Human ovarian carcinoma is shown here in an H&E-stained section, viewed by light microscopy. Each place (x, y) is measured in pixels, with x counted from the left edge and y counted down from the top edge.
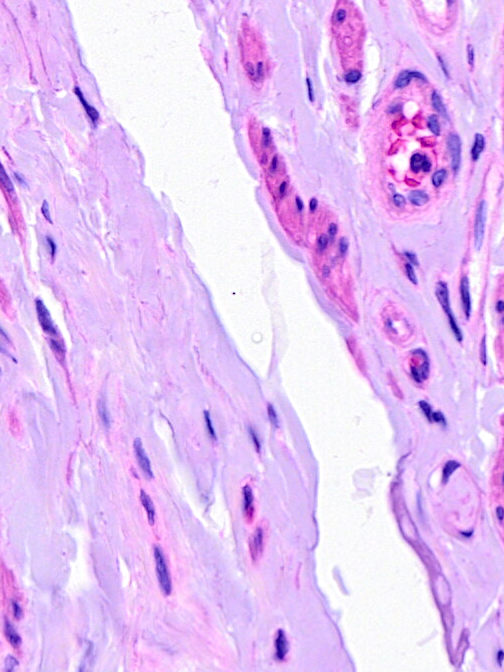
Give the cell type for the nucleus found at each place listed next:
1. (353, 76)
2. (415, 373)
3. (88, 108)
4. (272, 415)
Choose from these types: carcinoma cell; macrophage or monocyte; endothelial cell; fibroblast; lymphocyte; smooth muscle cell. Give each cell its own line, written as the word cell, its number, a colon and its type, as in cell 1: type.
cell 1: smooth muscle cell
cell 2: endothelial cell
cell 3: fibroblast
cell 4: fibroblast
